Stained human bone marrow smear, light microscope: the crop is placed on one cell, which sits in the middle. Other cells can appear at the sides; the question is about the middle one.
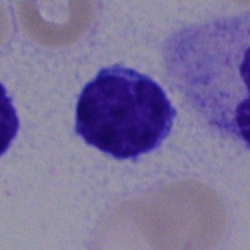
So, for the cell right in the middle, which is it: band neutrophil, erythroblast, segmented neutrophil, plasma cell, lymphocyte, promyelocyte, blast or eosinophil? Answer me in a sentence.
The central cell shown in this smear crop is a lymphocyte.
